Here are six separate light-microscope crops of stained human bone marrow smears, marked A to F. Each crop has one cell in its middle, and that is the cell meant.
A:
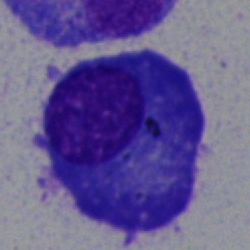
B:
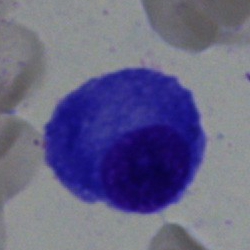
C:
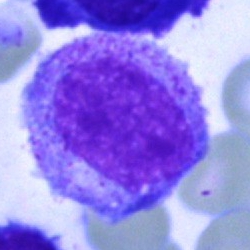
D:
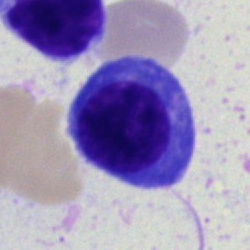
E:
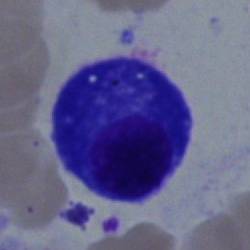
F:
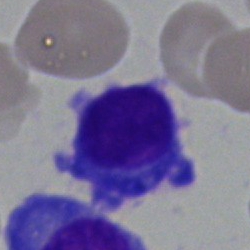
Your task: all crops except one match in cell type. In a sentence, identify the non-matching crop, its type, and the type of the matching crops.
Crop C stands apart from the rest as a promyelocyte, the others all being plasma cells.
